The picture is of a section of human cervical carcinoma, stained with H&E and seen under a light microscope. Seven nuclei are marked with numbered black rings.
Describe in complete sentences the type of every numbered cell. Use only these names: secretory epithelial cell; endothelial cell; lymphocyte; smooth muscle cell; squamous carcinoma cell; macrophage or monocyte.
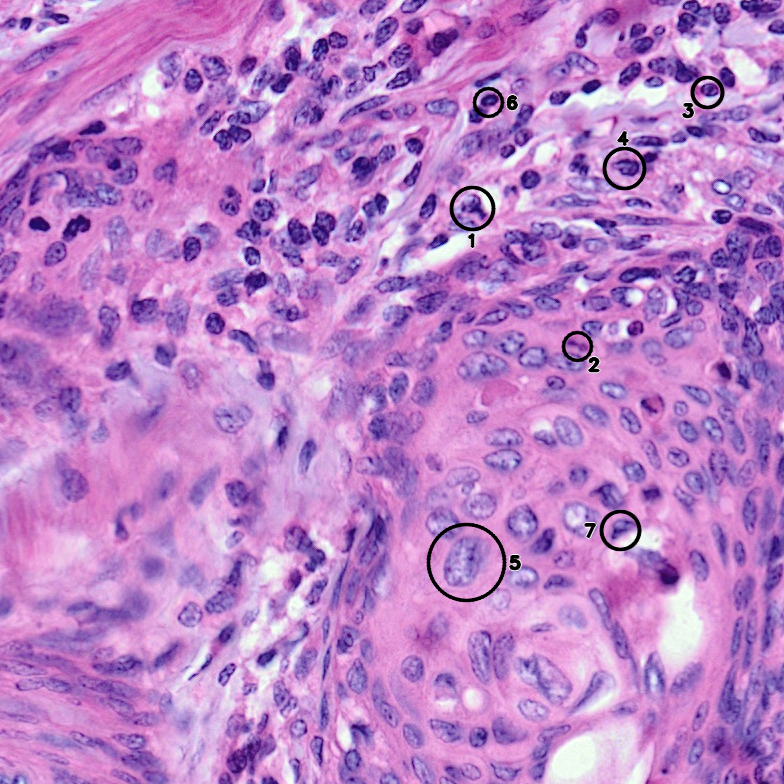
Cell 1 is a lymphocyte, cell 2 is a squamous carcinoma cell, cell 3 is a lymphocyte, cell 4 is a lymphocyte, cell 5 is a squamous carcinoma cell, cell 6 is a lymphocyte and cell 7 is a squamous carcinoma cell.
